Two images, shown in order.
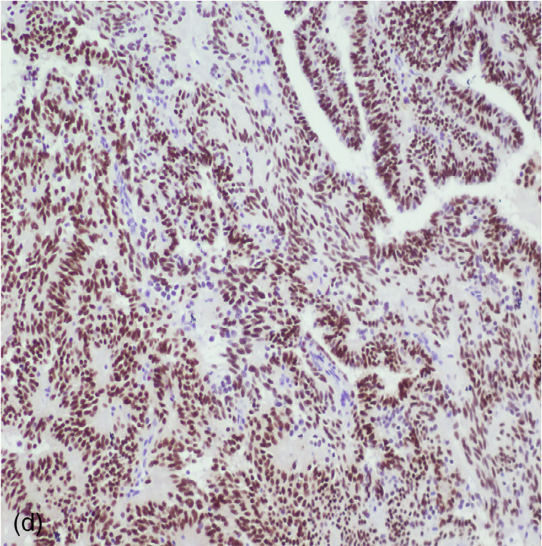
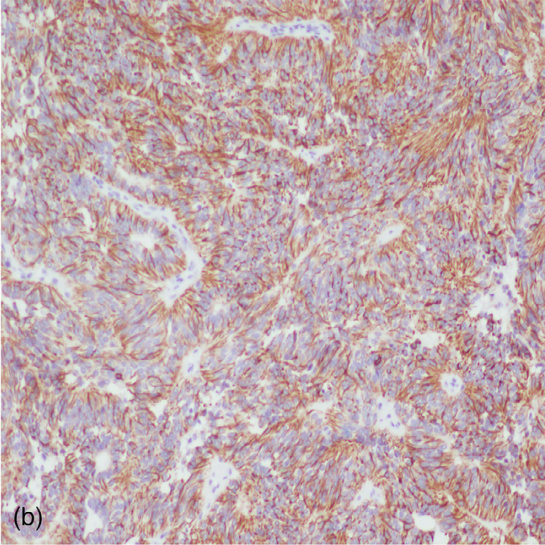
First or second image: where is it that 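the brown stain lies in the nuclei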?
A: the first image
